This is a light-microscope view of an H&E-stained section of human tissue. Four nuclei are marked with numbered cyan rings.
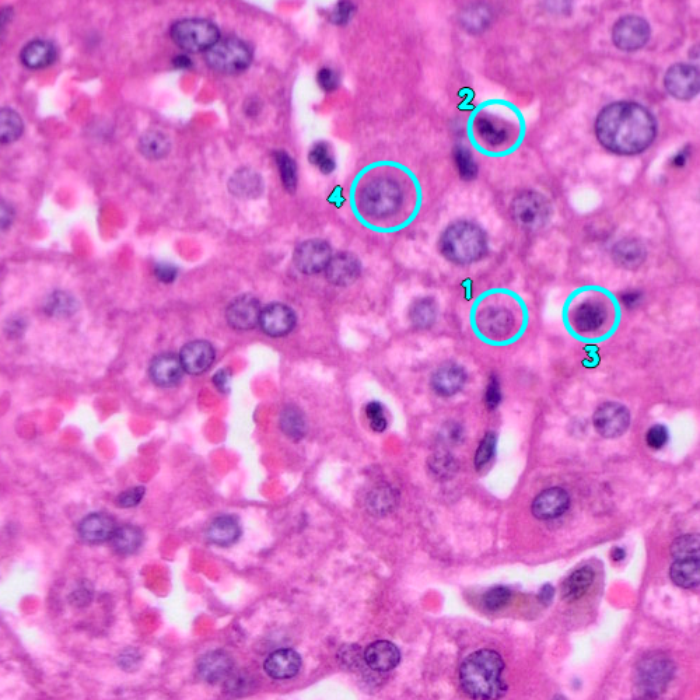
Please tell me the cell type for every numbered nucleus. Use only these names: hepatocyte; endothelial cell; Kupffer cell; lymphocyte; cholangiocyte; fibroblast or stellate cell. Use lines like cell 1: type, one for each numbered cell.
cell 1: hepatocyte
cell 2: Kupffer cell
cell 3: Kupffer cell
cell 4: hepatocyte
